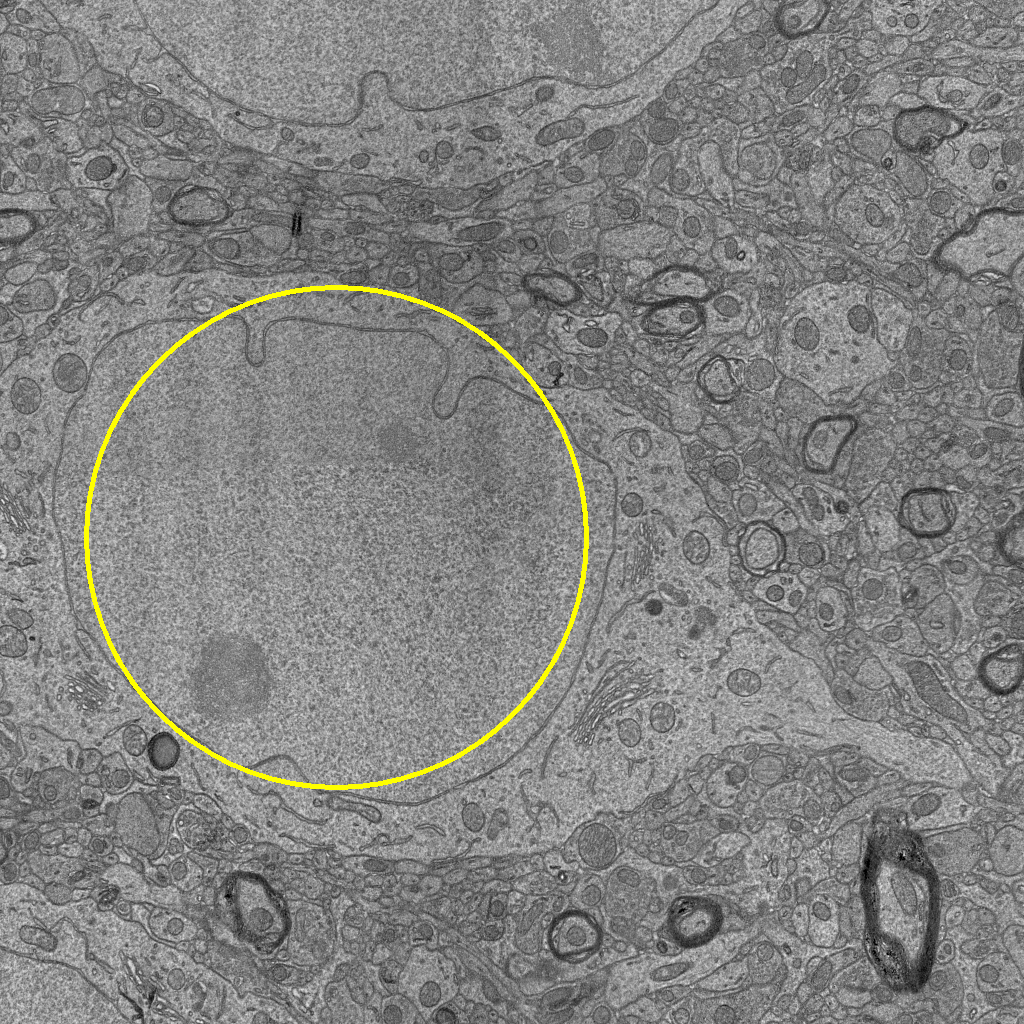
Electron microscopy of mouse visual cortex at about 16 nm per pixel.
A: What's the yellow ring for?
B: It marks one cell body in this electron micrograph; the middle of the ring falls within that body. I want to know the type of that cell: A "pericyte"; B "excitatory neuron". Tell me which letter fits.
B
